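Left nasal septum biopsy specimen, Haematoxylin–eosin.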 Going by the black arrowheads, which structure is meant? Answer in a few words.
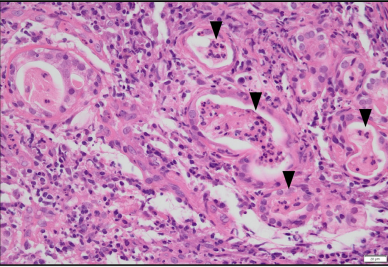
microabscesses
